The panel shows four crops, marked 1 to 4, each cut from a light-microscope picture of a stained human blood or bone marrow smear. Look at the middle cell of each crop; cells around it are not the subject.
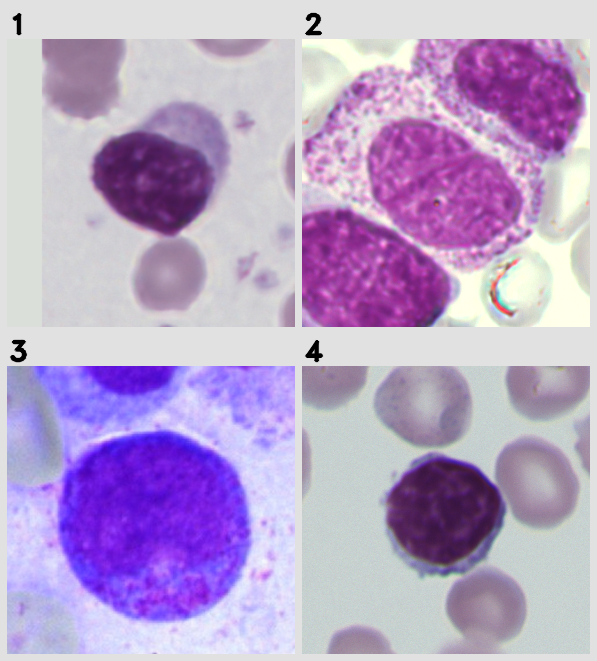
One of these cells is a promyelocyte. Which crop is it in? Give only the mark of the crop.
3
